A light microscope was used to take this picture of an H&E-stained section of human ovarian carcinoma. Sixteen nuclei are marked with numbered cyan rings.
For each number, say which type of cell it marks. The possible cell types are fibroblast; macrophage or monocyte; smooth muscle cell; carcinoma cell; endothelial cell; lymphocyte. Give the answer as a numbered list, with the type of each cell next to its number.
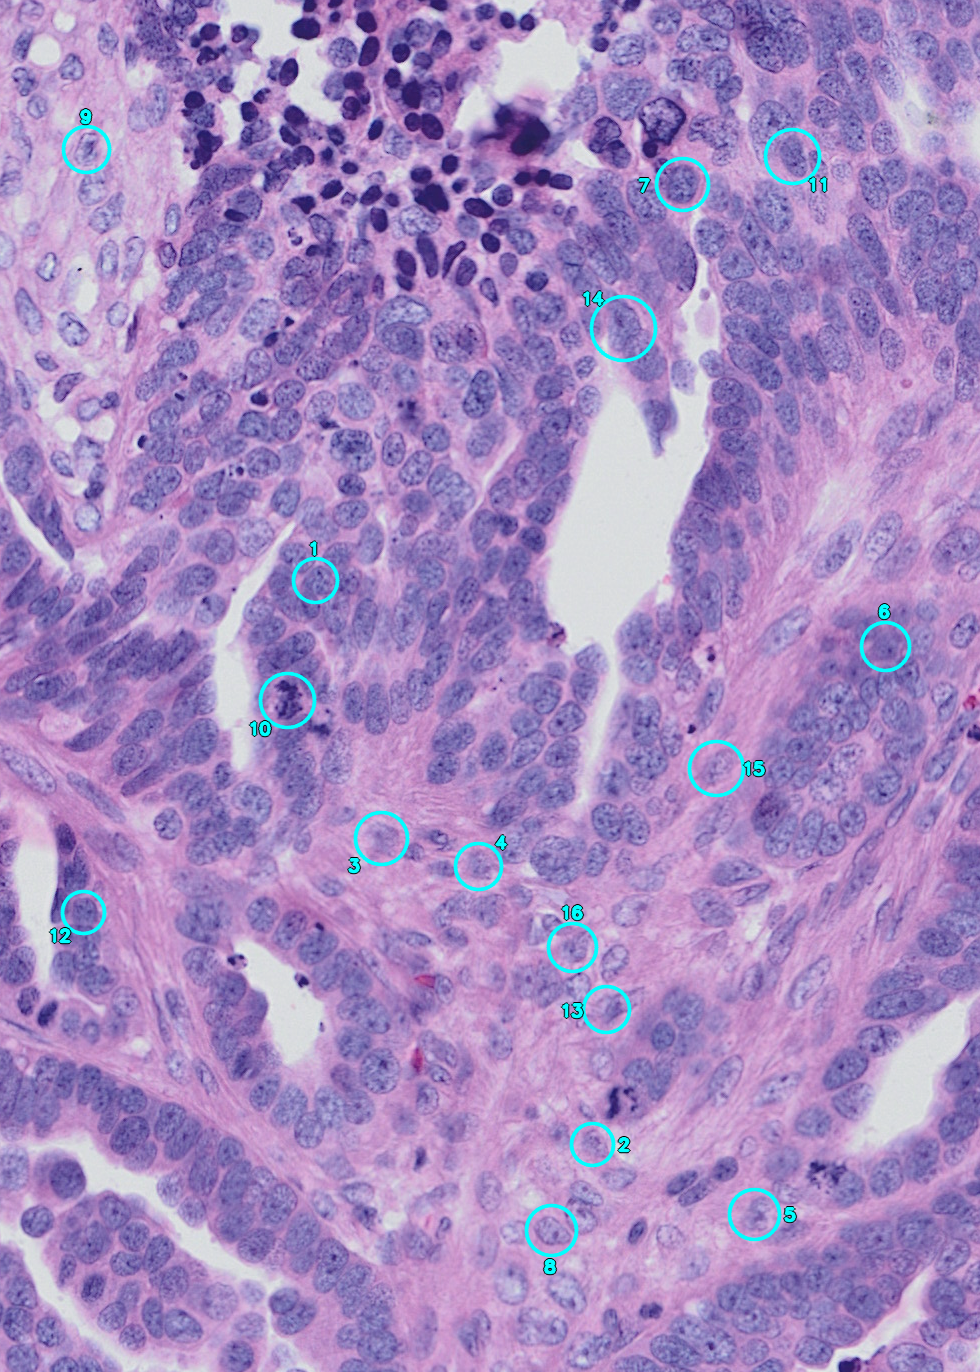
1. carcinoma cell
2. fibroblast
3. fibroblast
4. fibroblast
5. fibroblast
6. carcinoma cell
7. carcinoma cell
8. fibroblast
9. fibroblast
10. carcinoma cell
11. carcinoma cell
12. carcinoma cell
13. fibroblast
14. carcinoma cell
15. fibroblast
16. fibroblast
